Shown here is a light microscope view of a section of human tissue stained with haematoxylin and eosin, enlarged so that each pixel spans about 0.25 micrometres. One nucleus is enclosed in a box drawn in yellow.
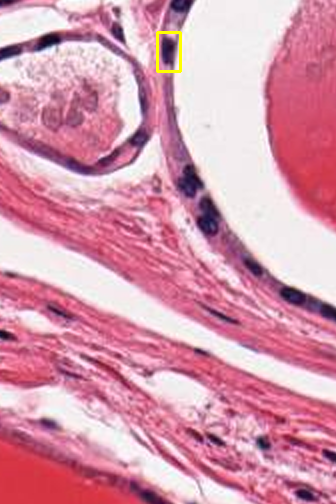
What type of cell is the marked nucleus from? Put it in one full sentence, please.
The cell that the marked nucleus belongs to is a thyroid follicular cell.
